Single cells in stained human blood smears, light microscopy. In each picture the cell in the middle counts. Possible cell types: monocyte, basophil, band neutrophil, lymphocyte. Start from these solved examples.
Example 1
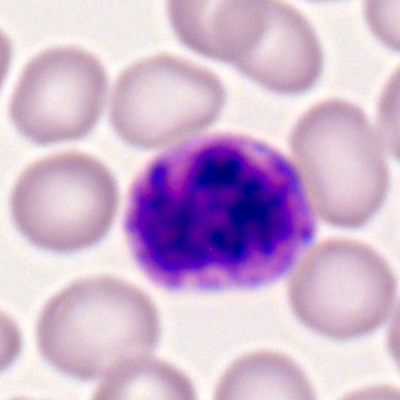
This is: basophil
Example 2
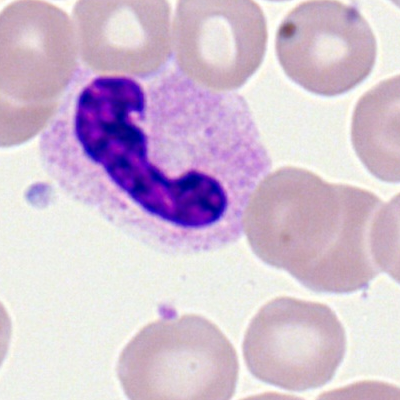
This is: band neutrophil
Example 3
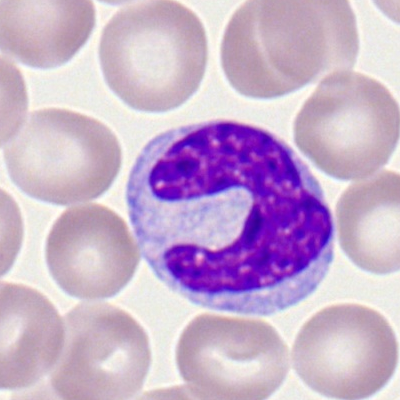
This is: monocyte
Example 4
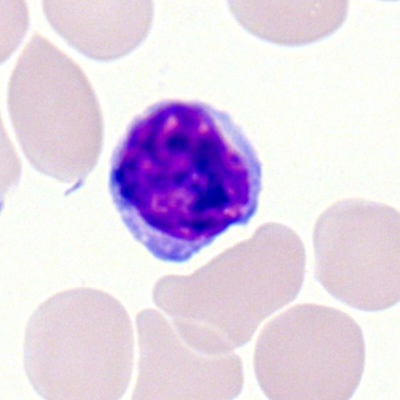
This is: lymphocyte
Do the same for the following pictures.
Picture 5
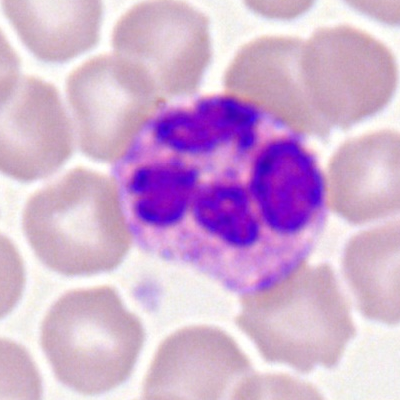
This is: basophil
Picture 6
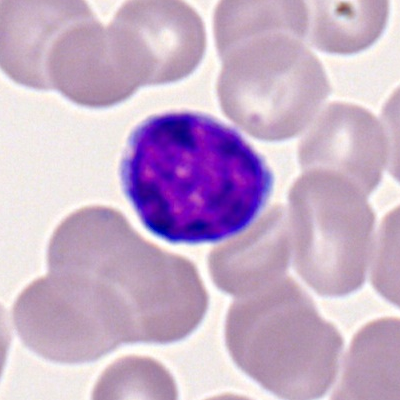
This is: lymphocyte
